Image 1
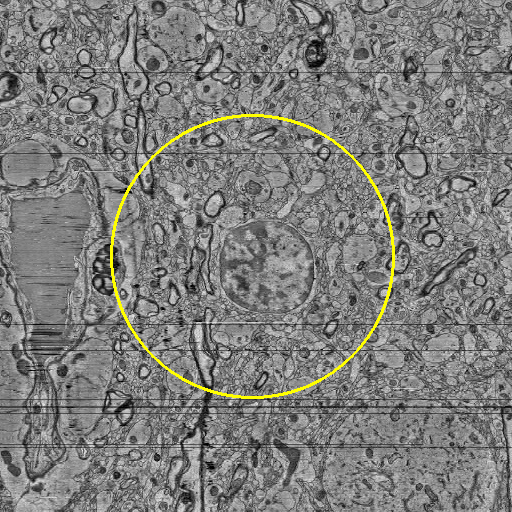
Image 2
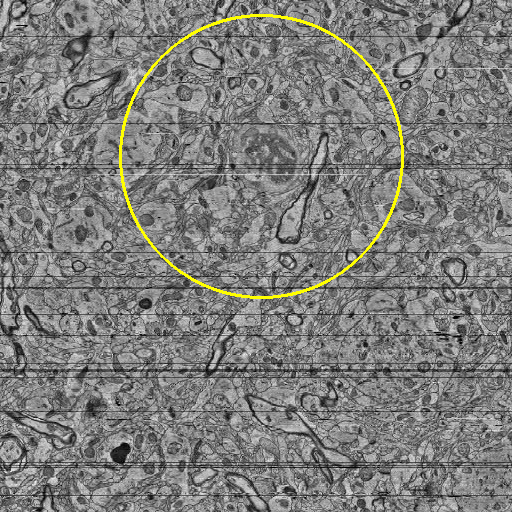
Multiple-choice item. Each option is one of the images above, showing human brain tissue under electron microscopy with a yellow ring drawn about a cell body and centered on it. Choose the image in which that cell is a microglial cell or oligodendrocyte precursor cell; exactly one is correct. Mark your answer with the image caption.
Image 1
